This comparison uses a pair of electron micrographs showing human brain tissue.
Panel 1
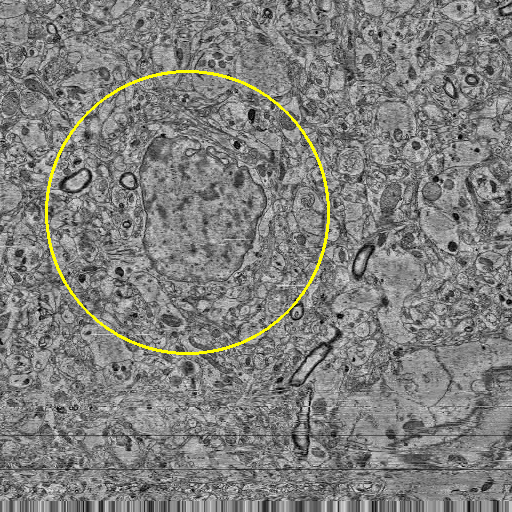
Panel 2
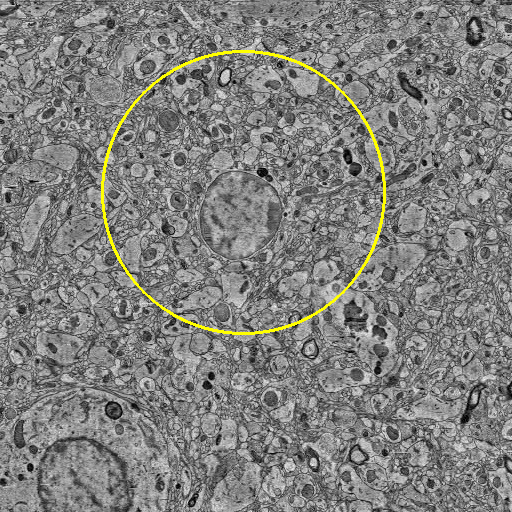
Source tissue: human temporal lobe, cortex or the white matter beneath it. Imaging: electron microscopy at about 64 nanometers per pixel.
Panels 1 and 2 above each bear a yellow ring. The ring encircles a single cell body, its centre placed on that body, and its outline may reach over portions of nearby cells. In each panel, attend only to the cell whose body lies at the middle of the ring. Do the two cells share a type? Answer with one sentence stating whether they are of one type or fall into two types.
In Panel 1 and Panel 2, the cells at the centres of the rings are of one type.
